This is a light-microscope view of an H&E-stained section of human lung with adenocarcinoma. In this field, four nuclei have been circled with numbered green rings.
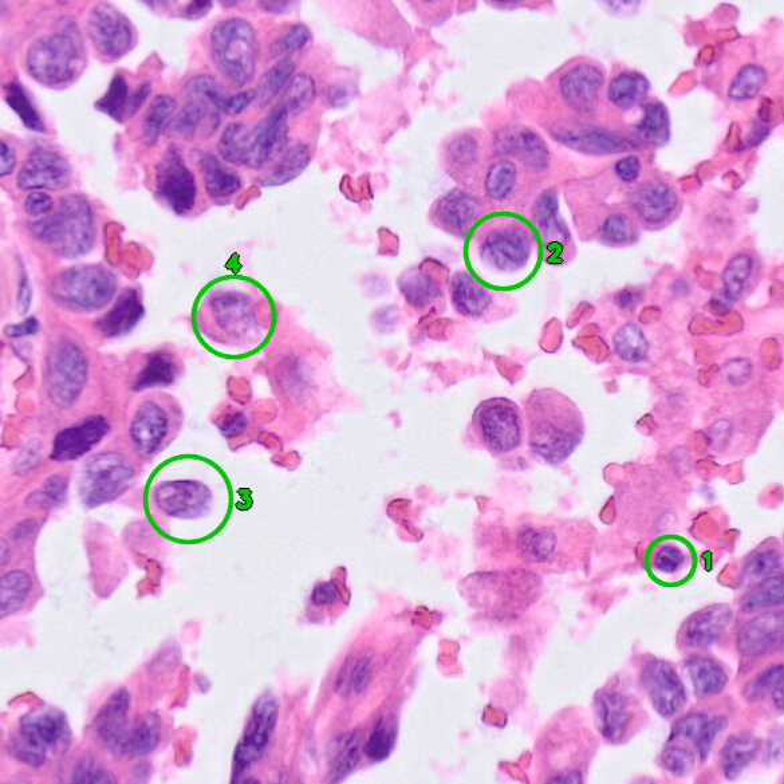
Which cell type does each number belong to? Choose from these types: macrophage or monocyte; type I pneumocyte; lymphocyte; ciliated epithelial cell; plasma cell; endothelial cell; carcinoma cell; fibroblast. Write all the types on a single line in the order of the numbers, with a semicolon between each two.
lymphocyte; carcinoma cell; carcinoma cell; carcinoma cell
